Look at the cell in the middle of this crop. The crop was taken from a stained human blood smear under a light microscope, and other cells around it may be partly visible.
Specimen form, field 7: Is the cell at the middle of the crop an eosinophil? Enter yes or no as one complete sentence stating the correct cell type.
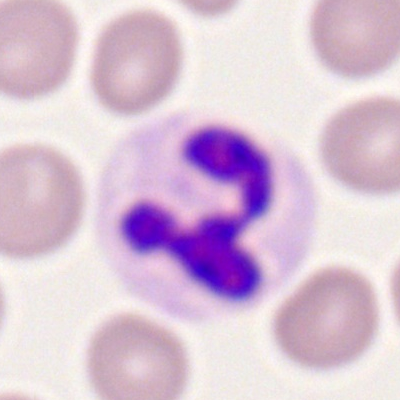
No, the central cell in this crop is a neutrophil and not an eosinophil.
